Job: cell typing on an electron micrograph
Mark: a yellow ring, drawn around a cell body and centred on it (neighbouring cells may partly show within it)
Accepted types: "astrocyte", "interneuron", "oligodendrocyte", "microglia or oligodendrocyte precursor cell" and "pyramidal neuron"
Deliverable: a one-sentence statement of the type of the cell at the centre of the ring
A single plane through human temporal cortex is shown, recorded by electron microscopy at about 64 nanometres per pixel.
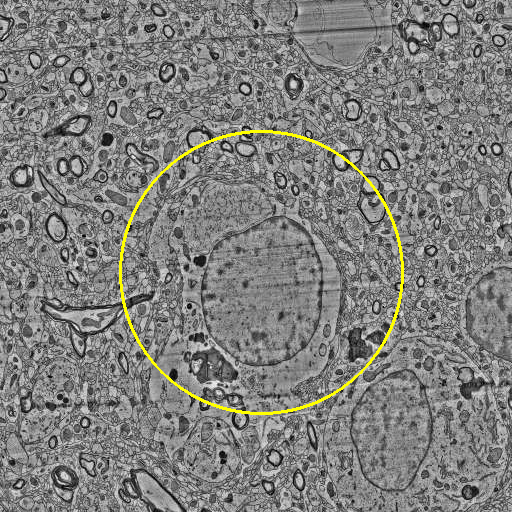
The centred cell body is that of an astrocyte.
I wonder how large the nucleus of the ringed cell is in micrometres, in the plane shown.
In this plane the nucleus spans approximately 10 by 8 micrometers.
